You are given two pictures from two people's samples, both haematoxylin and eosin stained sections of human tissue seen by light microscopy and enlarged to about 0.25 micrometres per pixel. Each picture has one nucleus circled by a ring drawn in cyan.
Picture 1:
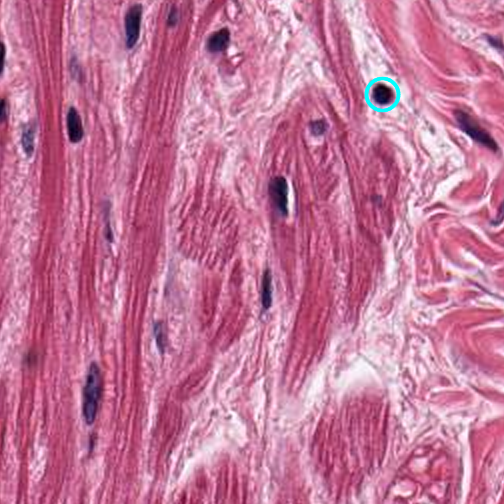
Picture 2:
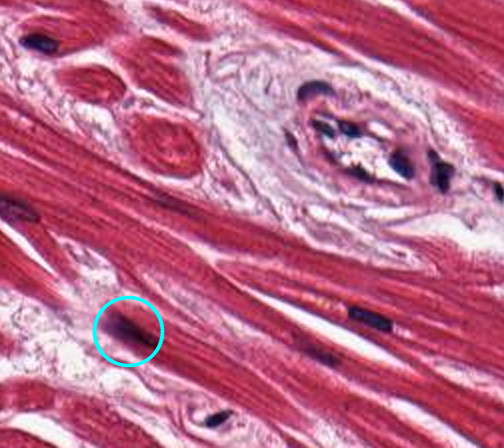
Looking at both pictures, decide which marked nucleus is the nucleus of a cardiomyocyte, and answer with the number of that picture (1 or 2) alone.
2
